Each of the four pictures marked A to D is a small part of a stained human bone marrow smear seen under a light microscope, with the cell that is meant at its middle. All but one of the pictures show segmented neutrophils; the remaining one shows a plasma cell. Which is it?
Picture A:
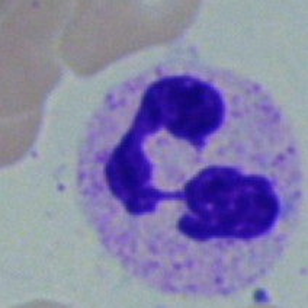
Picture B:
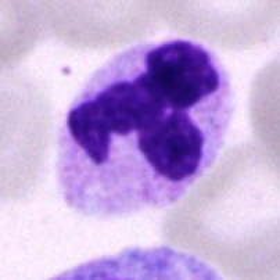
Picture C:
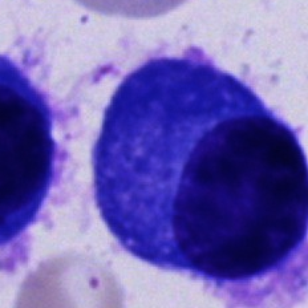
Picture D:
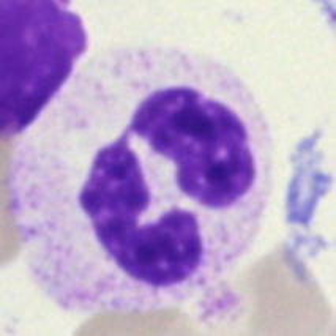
C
